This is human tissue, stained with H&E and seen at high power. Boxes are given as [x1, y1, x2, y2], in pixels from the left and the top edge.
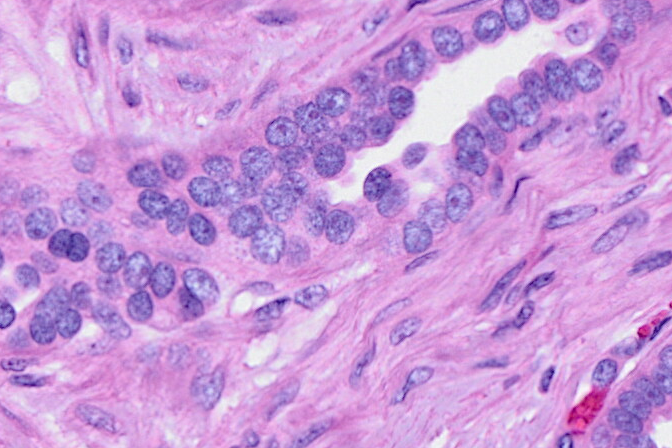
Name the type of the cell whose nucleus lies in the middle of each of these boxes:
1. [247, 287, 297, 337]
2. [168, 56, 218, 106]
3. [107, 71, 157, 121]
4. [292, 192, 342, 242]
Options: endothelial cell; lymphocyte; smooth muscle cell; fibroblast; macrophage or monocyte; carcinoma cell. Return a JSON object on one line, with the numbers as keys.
{"1": "fibroblast", "2": "fibroblast", "3": "fibroblast", "4": "carcinoma cell"}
